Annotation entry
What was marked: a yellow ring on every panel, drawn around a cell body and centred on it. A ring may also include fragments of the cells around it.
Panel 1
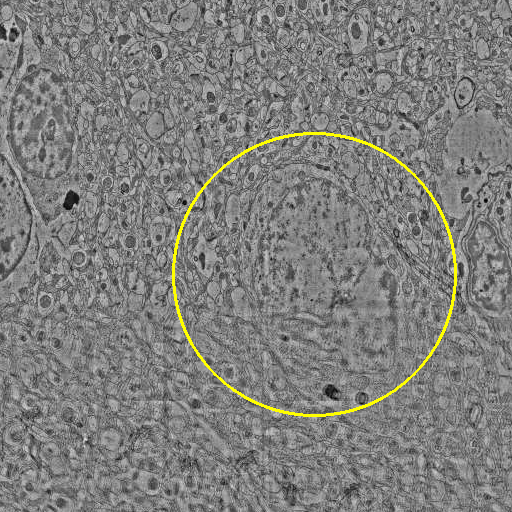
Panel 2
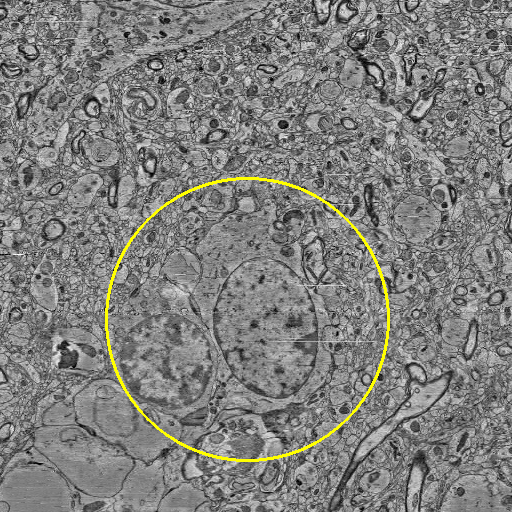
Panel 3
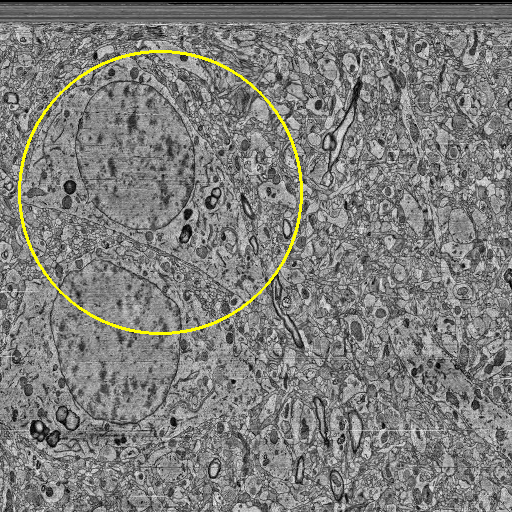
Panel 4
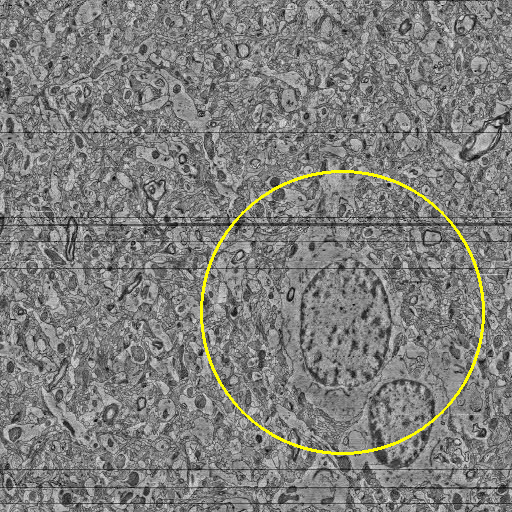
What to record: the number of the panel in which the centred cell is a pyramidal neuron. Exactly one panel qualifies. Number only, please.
3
